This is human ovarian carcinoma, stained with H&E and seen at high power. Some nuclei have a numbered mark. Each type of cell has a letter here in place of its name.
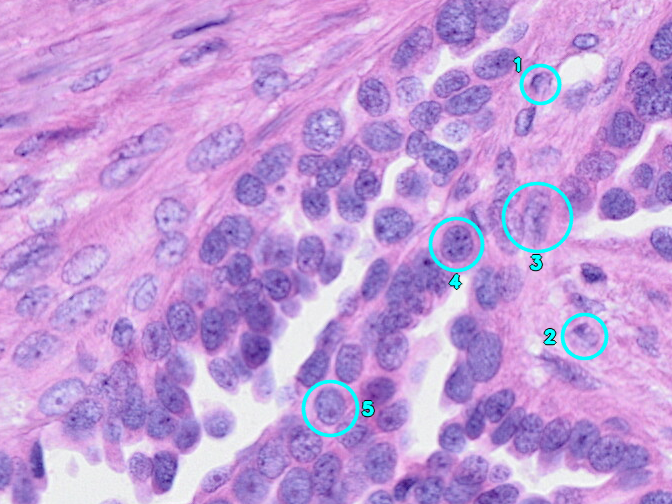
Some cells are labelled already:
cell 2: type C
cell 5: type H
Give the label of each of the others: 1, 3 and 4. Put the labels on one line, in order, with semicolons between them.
type C; type C; type H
